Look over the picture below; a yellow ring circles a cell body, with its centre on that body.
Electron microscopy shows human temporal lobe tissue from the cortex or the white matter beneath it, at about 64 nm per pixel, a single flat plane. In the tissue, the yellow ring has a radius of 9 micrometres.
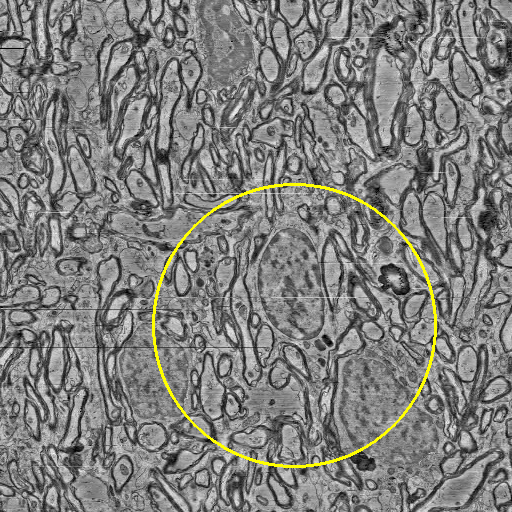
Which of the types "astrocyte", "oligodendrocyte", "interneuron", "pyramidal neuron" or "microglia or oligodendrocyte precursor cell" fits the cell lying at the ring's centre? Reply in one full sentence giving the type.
The picture shows a microglial cell or oligodendrocyte precursor cell at the centre of the yellow ring.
